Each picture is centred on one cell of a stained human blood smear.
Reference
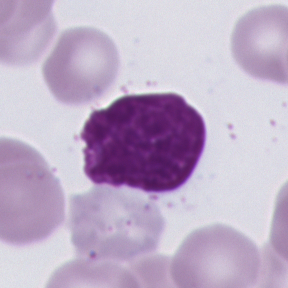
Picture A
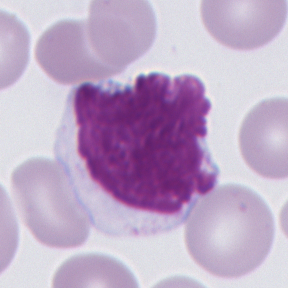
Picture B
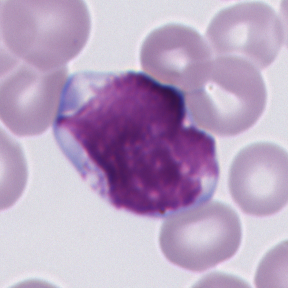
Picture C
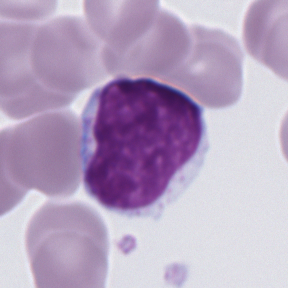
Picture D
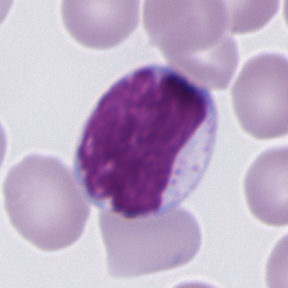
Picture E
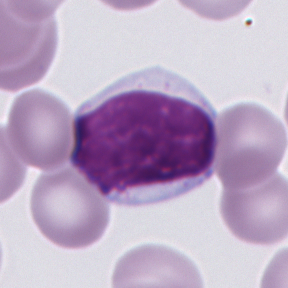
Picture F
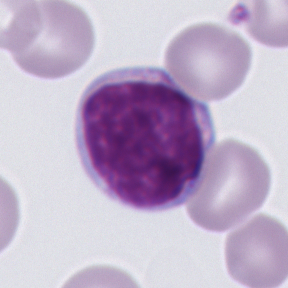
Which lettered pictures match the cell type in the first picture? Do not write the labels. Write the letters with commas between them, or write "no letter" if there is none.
A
